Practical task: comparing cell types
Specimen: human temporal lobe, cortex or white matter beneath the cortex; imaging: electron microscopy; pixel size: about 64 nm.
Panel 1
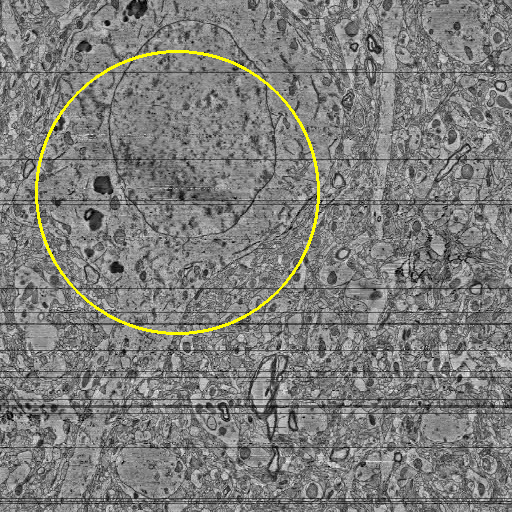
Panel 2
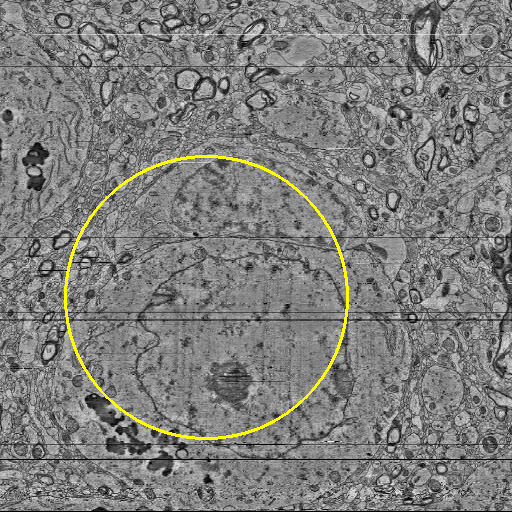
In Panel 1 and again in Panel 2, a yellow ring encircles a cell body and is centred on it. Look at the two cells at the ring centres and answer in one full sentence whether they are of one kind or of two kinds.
The two cells sitting at the ring centres of Panels 1 and 2 are of one kind.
